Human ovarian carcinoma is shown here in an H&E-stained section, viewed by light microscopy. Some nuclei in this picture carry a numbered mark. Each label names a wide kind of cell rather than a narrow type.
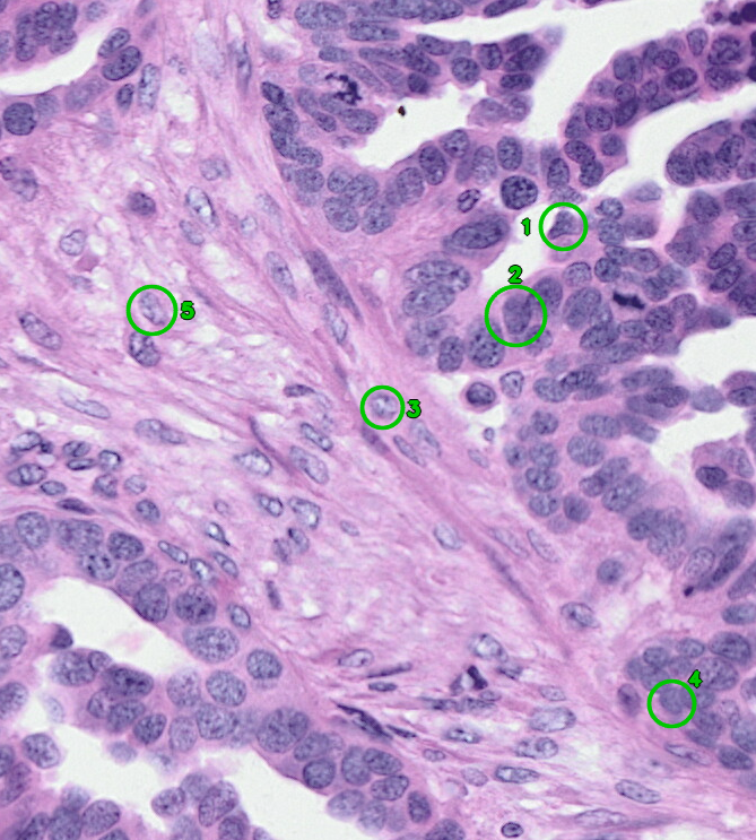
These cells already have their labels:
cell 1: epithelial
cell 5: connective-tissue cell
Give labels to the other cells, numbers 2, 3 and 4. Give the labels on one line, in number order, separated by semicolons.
epithelial; connective-tissue cell; epithelial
